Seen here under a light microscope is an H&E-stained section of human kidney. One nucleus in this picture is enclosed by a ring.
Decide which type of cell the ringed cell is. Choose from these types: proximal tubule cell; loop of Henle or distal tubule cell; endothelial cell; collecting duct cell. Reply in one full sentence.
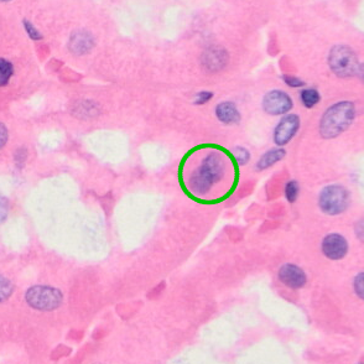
For the purposes of cell typing, the ringed cell is categorized as a proximal tubule cell.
